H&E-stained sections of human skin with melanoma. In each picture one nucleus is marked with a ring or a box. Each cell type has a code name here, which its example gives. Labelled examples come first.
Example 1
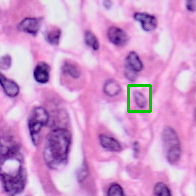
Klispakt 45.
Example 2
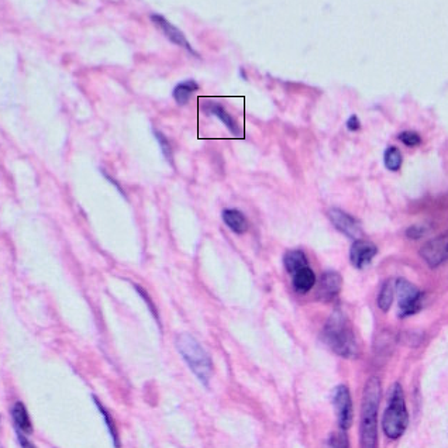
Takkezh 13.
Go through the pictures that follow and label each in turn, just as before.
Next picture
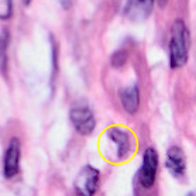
Takkezh 13.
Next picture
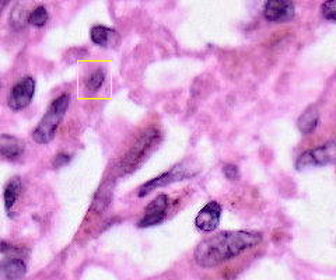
Klispakt 45.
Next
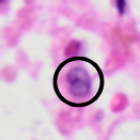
Klispakt 45.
